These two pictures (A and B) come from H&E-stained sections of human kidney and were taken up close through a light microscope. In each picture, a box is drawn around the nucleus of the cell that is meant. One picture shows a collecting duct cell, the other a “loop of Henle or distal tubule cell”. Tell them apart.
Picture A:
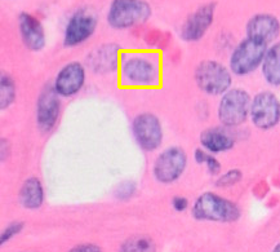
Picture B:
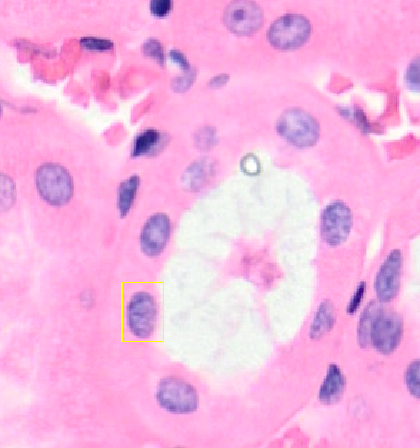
A: collecting duct cell
B: loop of Henle or distal tubule cell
